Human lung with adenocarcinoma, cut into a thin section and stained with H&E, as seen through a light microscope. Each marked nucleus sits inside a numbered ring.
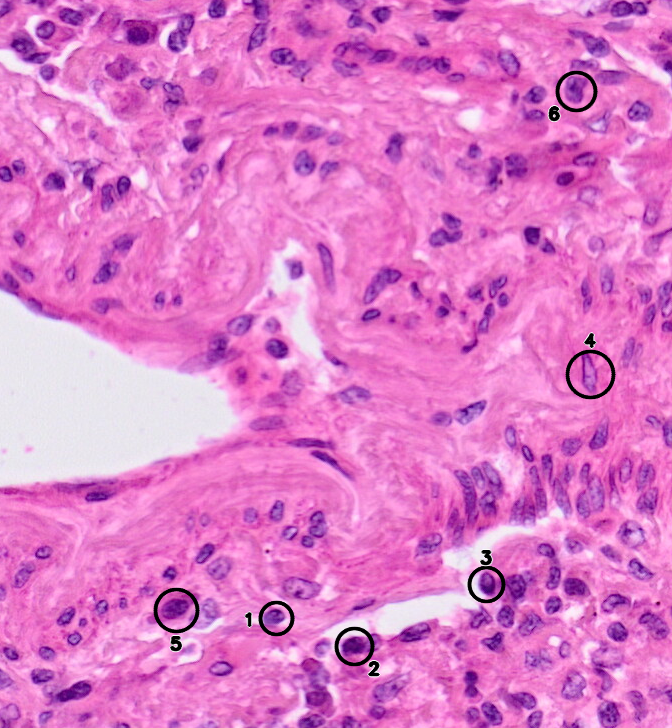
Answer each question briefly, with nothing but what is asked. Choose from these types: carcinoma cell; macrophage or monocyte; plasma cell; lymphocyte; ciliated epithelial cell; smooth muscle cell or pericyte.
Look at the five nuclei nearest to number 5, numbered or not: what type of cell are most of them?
smooth muscle cell or pericyte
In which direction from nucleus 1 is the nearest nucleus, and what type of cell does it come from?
a macrophage or monocyte above and to the right of nucleus 1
